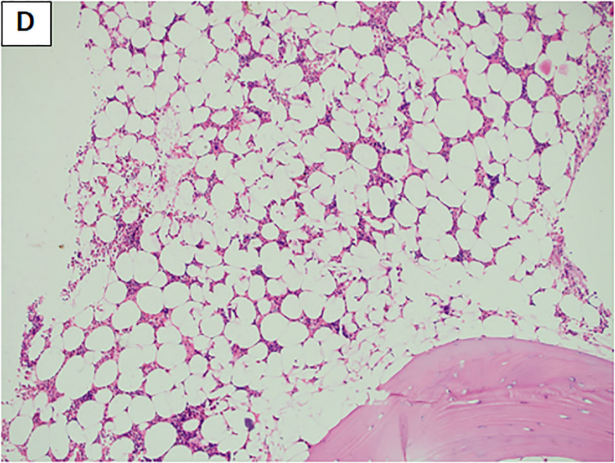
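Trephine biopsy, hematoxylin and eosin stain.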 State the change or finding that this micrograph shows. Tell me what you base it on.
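Hypocellular bone marrow spaces. Marrow space is mostly filled with empty round fat vacuoles. Only thin strands of cells lie between the fat spaces. A pink bony trabecula lies at the lower right.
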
